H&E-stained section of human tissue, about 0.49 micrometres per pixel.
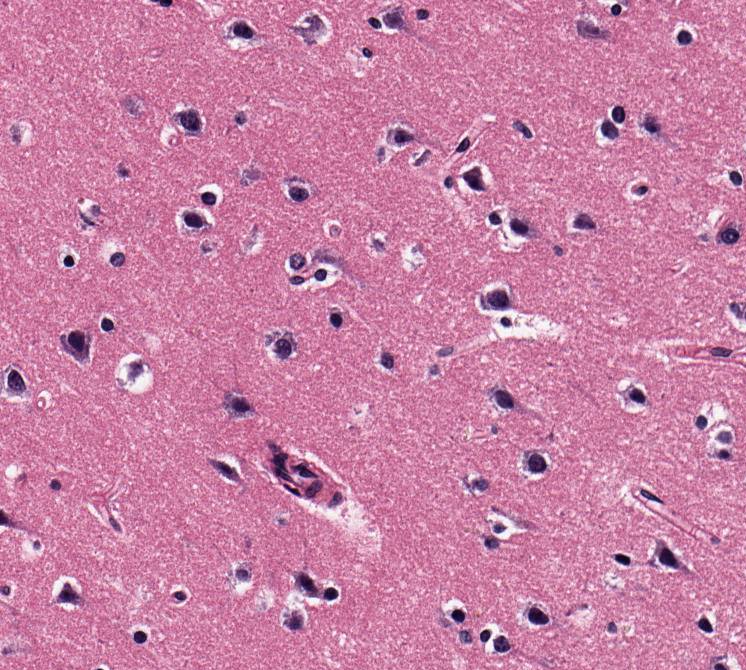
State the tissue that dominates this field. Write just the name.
cerebral cortex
